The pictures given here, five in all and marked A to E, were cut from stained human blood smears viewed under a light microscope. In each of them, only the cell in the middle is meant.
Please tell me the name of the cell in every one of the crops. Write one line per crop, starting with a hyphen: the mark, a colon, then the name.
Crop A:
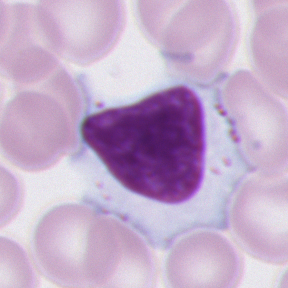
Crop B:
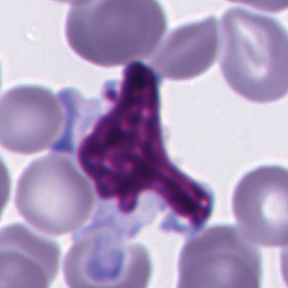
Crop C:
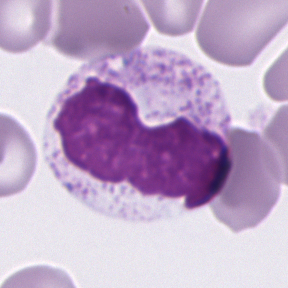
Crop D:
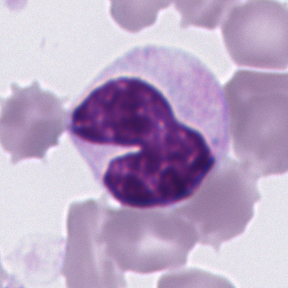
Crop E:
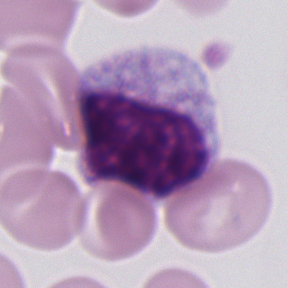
- A: large granular lymphocyte
- B: typical lymphocyte
- C: band neutrophil
- D: band neutrophil
- E: metamyelocyte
